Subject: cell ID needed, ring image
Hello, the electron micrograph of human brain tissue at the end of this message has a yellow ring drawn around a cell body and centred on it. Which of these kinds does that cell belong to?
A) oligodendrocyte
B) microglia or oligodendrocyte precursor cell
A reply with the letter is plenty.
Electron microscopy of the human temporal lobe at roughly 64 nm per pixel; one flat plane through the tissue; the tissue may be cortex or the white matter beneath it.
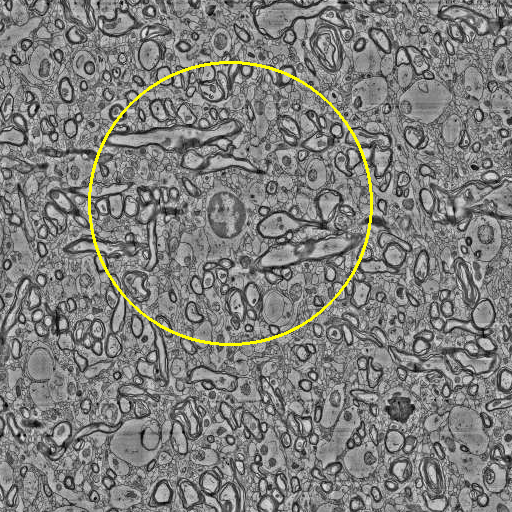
B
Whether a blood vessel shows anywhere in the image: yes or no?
No, none appears.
